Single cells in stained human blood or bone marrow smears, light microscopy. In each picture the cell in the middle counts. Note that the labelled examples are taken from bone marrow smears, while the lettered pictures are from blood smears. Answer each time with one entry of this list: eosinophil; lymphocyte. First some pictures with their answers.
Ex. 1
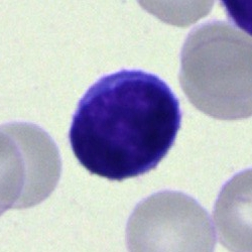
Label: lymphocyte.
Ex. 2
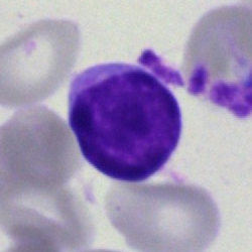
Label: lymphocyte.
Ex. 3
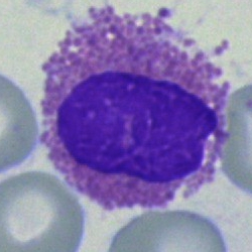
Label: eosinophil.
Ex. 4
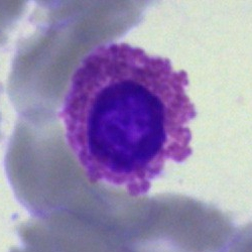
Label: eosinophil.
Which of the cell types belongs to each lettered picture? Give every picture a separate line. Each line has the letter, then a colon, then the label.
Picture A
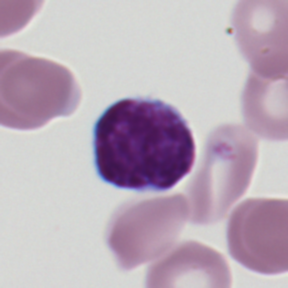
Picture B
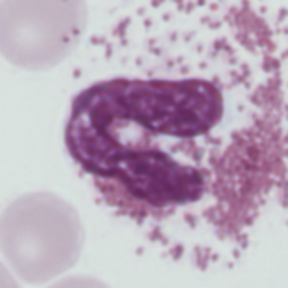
A: lymphocyte.
B: eosinophil.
